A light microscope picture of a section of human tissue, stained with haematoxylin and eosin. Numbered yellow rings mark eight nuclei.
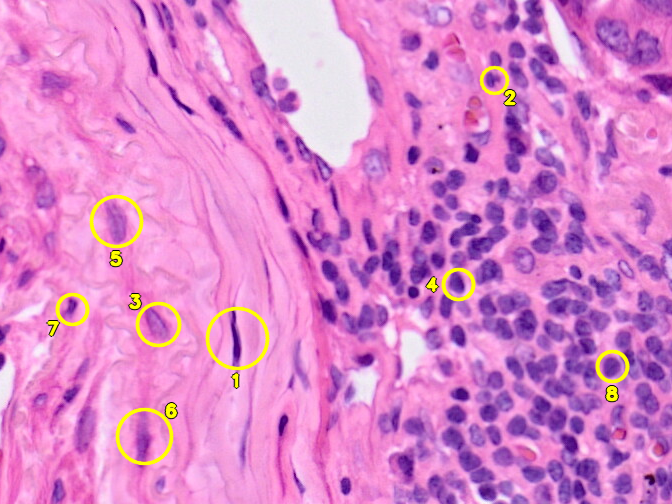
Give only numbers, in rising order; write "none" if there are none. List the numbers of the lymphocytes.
2, 4, 8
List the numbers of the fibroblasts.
1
